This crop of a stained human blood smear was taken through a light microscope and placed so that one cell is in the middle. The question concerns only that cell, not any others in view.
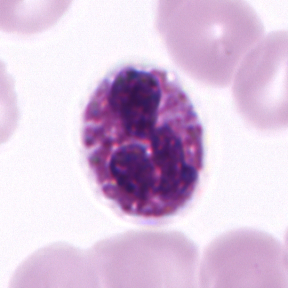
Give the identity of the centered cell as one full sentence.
For this crop, the central cell is an eosinophil.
